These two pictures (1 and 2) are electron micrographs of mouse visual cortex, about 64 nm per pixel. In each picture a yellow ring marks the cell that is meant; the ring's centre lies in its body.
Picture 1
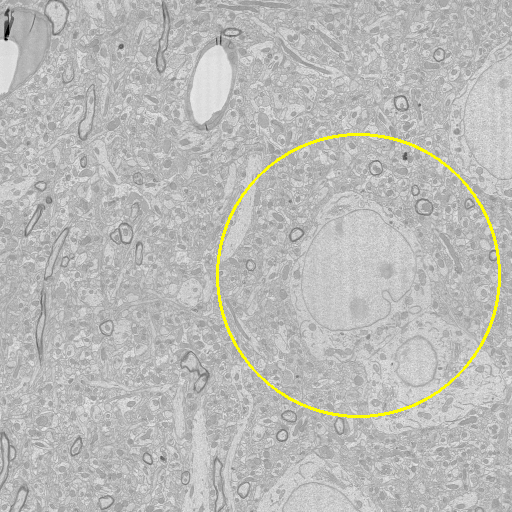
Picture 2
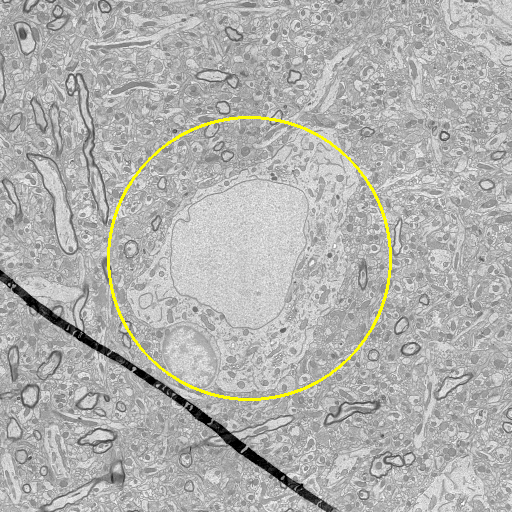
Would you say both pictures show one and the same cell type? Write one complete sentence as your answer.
Yes, they are the same type: both are excitatory neurons.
